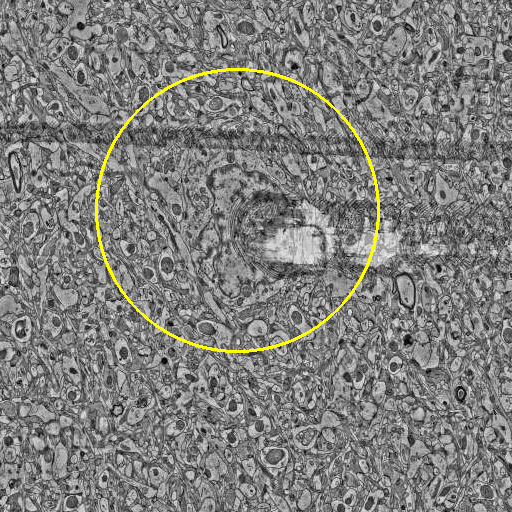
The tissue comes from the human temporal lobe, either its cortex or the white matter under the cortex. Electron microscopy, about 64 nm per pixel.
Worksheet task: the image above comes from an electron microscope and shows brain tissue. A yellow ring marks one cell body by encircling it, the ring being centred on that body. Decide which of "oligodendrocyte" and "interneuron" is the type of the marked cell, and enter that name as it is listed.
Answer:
interneuron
